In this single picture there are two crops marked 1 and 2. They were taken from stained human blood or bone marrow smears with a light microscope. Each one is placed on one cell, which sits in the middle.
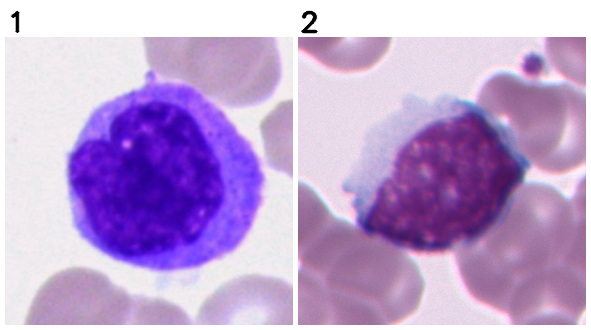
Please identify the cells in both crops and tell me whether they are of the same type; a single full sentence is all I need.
Yes, both of the crops in this pair show monocytes, one cell in each crop.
